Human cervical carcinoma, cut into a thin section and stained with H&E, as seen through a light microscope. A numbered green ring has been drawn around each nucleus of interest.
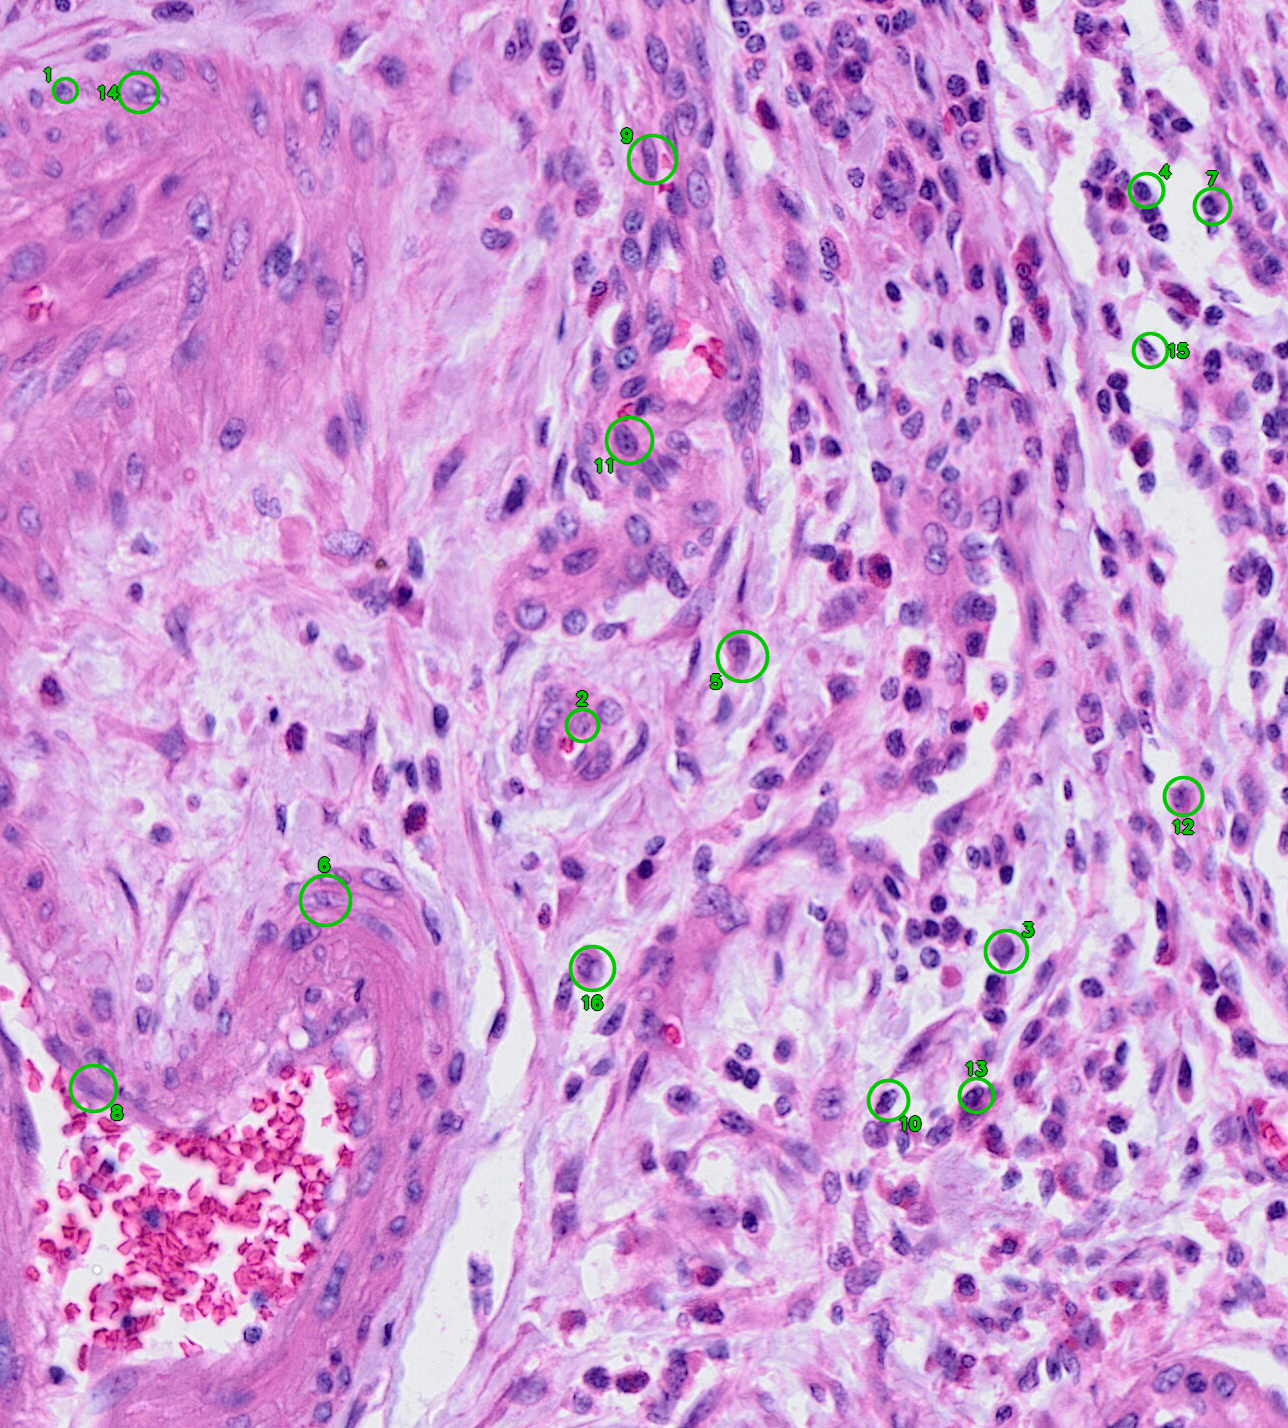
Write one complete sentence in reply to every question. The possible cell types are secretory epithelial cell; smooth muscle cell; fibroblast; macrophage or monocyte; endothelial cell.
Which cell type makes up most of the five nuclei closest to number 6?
Most of the five nuclei nearest to number 6 are those of smooth muscle cells.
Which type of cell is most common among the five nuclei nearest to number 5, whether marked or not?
The majority of the five nuclei closest to number 5 belong to fibroblasts.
